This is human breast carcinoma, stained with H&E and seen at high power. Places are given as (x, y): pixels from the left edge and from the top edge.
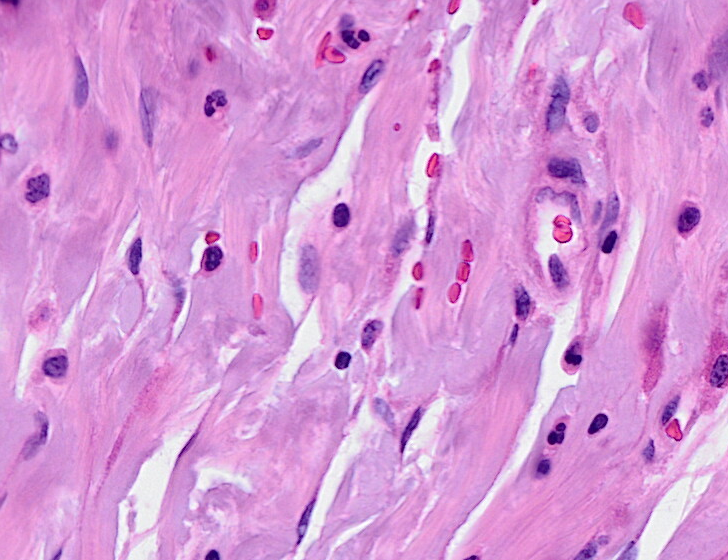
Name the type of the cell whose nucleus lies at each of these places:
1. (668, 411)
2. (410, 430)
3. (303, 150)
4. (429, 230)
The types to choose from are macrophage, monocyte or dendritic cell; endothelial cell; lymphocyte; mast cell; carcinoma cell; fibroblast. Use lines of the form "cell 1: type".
cell 1: endothelial cell
cell 2: fibroblast
cell 3: fibroblast
cell 4: fibroblast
